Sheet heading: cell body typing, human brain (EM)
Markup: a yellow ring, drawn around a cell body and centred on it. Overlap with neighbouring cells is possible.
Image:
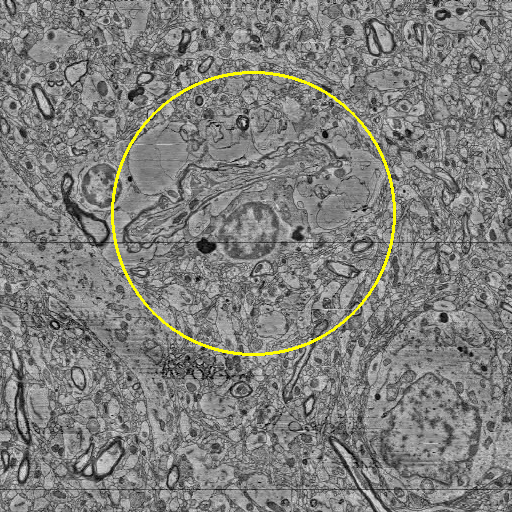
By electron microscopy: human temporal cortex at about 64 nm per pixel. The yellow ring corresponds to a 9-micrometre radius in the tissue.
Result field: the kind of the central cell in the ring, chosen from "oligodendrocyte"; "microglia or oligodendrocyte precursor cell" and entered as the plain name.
oligodendrocyte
